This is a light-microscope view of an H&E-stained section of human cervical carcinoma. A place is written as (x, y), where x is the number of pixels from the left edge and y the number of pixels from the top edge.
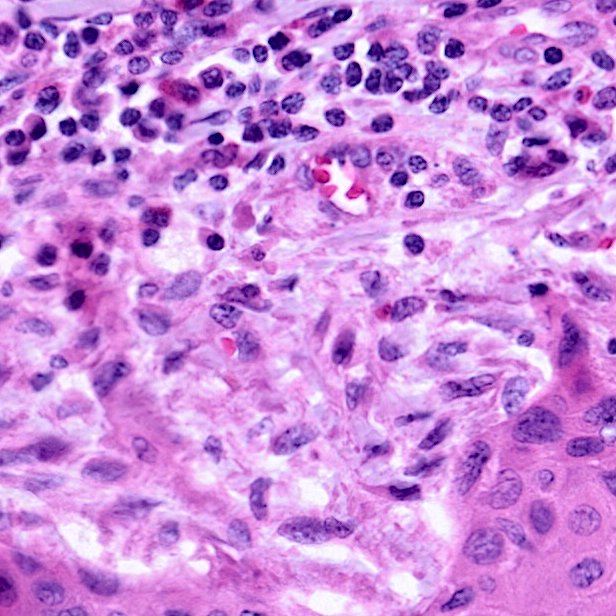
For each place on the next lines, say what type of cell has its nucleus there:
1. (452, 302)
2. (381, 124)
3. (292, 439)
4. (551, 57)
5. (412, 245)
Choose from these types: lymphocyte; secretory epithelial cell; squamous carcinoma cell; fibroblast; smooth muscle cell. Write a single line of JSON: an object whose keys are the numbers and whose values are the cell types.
{"1": "fibroblast", "2": "lymphocyte", "3": "fibroblast", "4": "lymphocyte", "5": "lymphocyte"}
